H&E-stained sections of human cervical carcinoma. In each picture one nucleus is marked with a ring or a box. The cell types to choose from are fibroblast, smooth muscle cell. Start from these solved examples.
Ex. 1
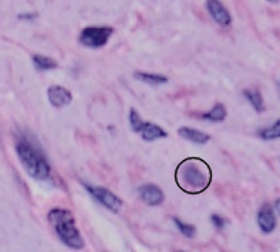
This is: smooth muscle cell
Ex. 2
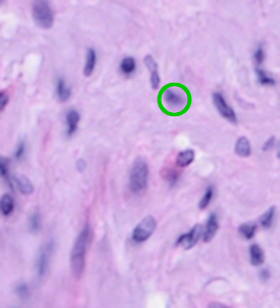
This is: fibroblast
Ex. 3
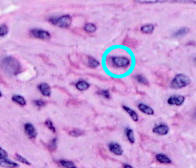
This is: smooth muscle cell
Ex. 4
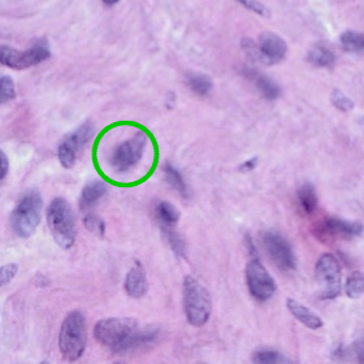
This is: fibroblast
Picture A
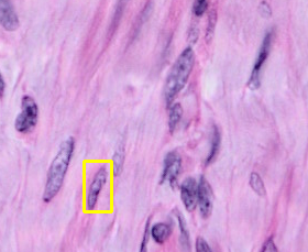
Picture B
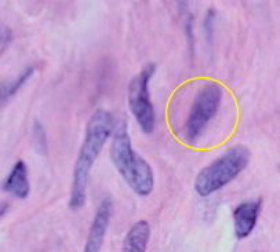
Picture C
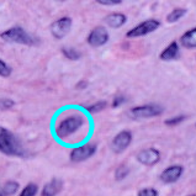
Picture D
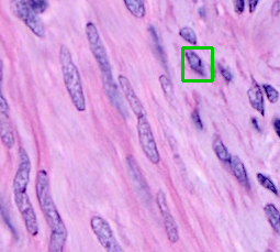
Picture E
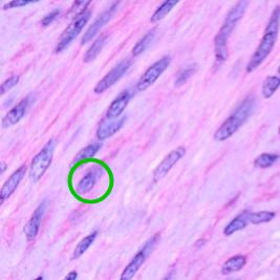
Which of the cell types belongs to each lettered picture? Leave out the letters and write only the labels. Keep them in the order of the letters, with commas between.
smooth muscle cell, fibroblast, smooth muscle cell, smooth muscle cell, smooth muscle cell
